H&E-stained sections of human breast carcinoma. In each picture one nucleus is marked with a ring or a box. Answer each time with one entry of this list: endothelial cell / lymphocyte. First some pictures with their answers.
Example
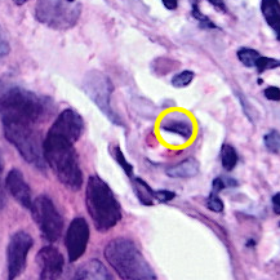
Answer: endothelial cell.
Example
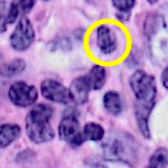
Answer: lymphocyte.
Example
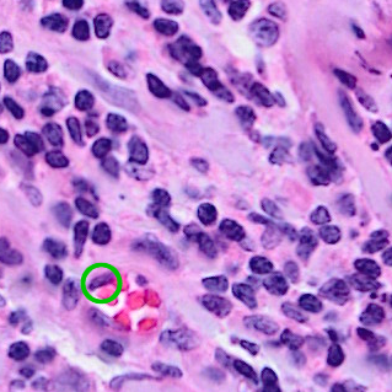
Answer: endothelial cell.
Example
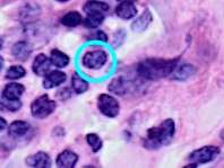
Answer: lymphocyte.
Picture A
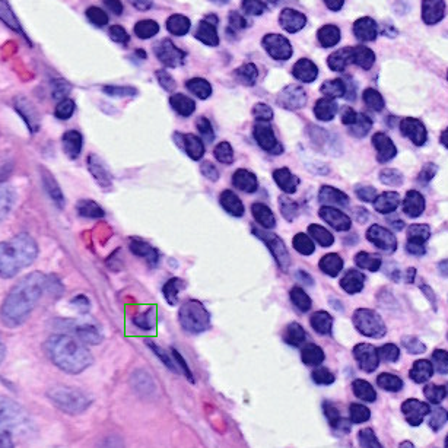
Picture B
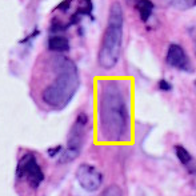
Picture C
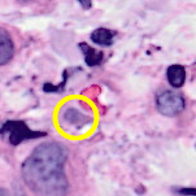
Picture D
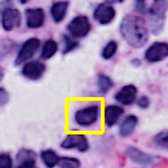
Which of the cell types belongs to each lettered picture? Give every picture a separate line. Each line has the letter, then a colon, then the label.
A: endothelial cell.
B: endothelial cell.
C: endothelial cell.
D: lymphocyte.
